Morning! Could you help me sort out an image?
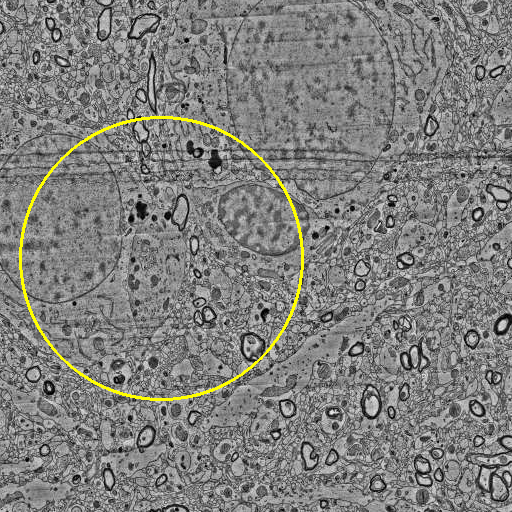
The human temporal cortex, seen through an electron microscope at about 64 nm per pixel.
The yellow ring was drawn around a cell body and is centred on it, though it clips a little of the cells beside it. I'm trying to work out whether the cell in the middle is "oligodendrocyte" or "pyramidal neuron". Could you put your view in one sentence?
The ringed cell body is that of an oligodendrocyte.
